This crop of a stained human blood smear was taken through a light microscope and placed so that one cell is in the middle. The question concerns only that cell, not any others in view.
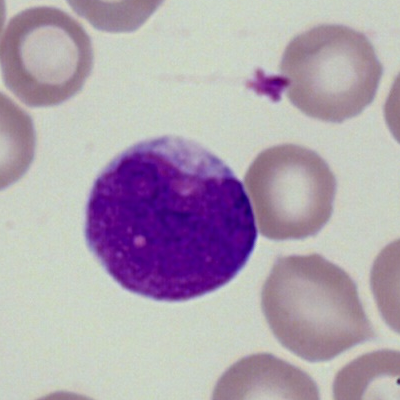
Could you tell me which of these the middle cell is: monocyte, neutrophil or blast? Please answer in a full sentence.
Occupying the centre of the crop is a blast.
